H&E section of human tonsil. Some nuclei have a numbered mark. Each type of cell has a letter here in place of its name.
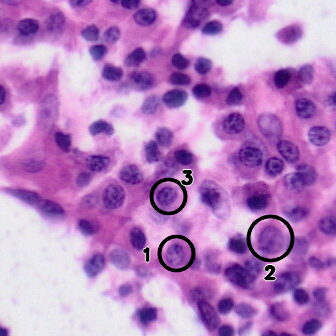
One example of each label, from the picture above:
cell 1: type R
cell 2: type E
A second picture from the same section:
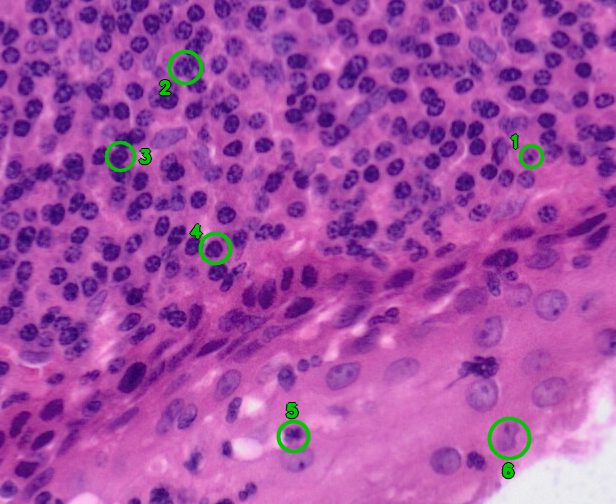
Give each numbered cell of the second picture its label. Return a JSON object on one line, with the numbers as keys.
{"1": "type R", "2": "type R", "3": "type R", "4": "type R", "5": "type E", "6": "type E"}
